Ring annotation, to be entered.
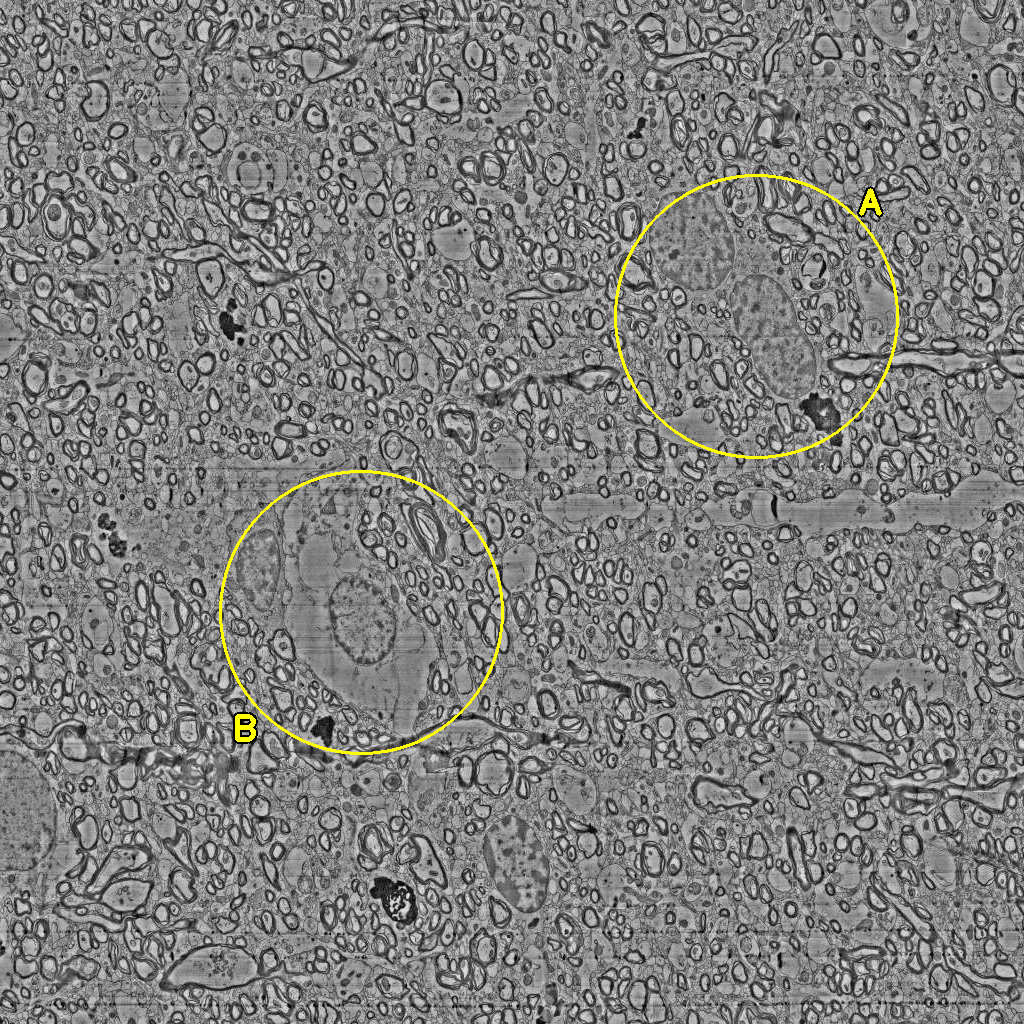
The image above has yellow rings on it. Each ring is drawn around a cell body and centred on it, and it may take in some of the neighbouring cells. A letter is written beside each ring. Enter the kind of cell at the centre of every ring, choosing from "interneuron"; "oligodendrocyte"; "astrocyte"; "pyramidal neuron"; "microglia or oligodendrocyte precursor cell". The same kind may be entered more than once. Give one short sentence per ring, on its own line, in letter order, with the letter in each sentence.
The ring marked A is centred on an oligodendrocyte.
The ring marked B is centred on an astrocyte.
